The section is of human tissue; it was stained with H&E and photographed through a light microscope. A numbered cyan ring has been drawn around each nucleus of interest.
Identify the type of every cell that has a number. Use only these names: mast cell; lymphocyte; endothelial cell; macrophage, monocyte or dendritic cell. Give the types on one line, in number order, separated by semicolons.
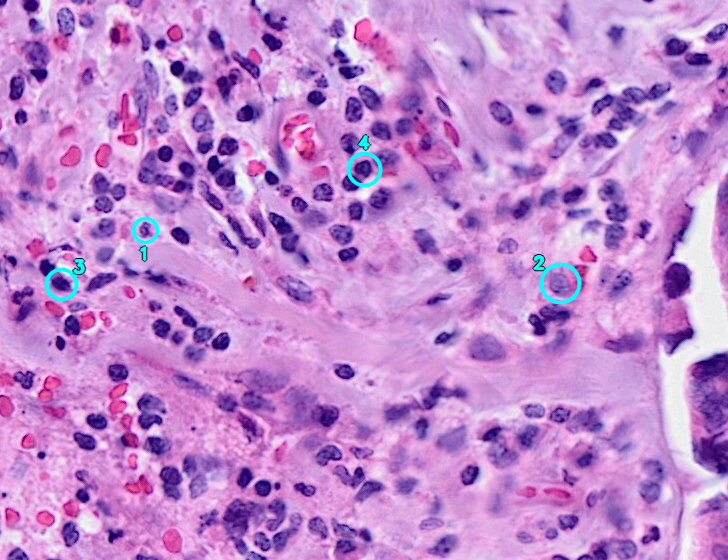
lymphocyte; endothelial cell; lymphocyte; lymphocyte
